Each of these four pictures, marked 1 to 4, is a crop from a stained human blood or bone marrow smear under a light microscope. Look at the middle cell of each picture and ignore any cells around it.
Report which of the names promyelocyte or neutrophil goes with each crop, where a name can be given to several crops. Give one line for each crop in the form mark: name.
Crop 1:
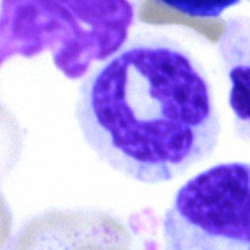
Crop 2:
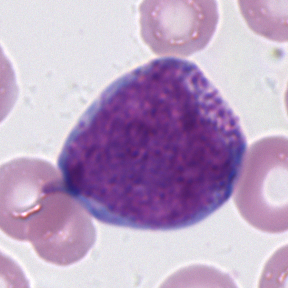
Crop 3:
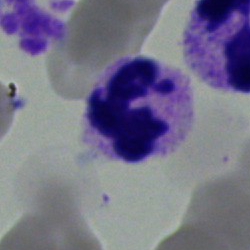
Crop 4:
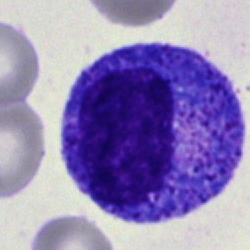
1: neutrophil
2: promyelocyte
3: neutrophil
4: promyelocyte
